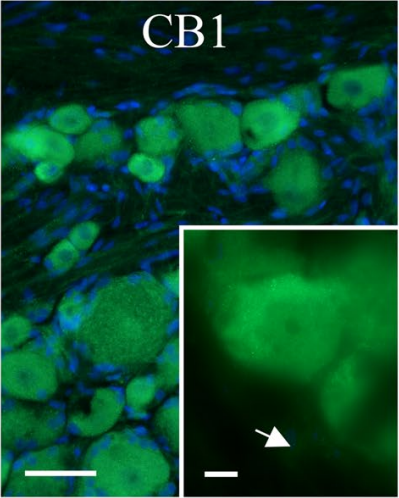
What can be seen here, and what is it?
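This section of a sensory ganglion shows many large, round neuronal somas filled with green label. Small, elongated blue nuclei of surrounding support cells crowd the spaces between the neuronal bodies and encircle some of them. Across the top of the field runs a band of fibrous tissue with streaks of fainter green and many flattened blue nuclei. The inset enlarges one neuronal body with diffuse green cytoplasm and a darker nuclear region.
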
